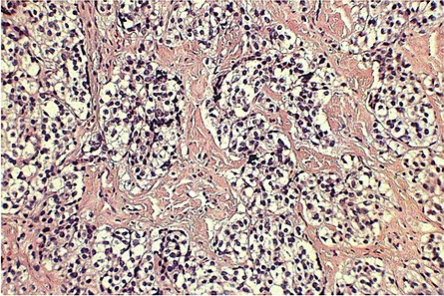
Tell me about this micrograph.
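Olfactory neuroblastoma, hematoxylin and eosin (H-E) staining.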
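The stromal bands between the nests are pale pink, wavy and fibrillar, and hold only a few elongated nuclei. The nests are sharply delimited from the surrounding stroma, giving the tissue a lobulated, nested pattern across the whole field.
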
